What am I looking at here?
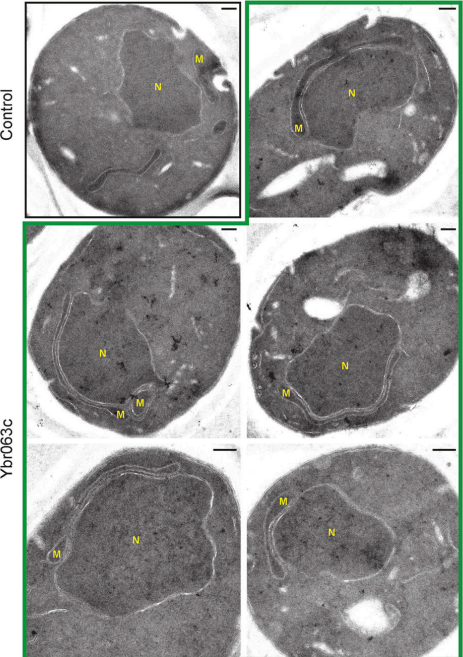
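Thin-section electron micrographs of whole yeast cells, each cut through a large, irregularly lobed nucleus that fills much of the cell. In most cells they lie pressed against the nuclear envelope and follow its outline for long distances, forming long curved bands with only a narrow gap between the two organelles. In one cell the mitochondria are short and lie apart from the nucleus.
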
